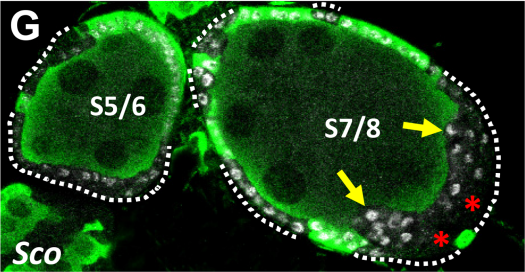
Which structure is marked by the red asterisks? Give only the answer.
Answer: outer layers of ectopic follicle cells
